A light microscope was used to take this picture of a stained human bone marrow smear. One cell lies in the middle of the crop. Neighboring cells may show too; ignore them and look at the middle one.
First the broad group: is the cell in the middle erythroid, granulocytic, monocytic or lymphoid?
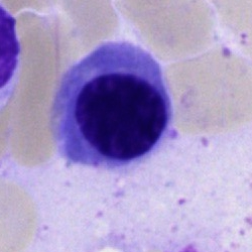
erythroid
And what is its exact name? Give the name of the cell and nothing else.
erythroblast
